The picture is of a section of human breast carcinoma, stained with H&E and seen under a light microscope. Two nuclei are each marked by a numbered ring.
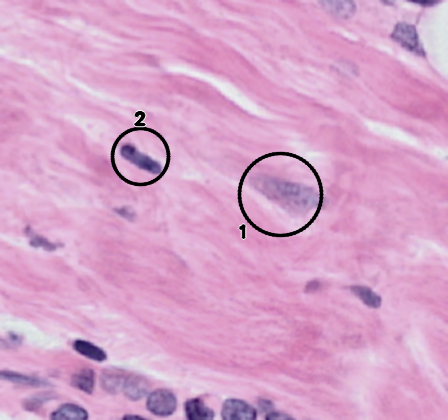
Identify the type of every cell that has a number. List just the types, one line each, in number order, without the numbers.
fibroblast
lymphocyte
